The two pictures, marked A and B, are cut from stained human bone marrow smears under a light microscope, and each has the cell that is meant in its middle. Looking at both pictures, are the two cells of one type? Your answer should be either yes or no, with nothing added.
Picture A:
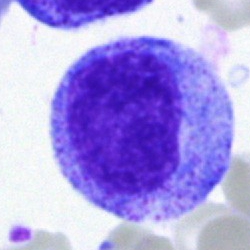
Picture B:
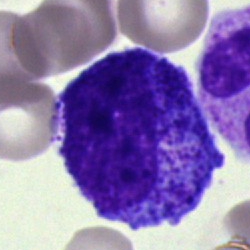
yes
